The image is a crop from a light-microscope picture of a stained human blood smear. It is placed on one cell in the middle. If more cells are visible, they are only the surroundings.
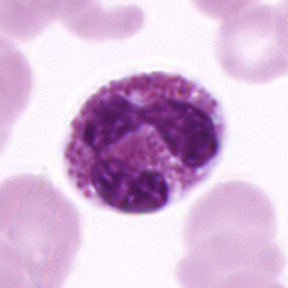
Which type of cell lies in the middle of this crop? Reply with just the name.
eosinophil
